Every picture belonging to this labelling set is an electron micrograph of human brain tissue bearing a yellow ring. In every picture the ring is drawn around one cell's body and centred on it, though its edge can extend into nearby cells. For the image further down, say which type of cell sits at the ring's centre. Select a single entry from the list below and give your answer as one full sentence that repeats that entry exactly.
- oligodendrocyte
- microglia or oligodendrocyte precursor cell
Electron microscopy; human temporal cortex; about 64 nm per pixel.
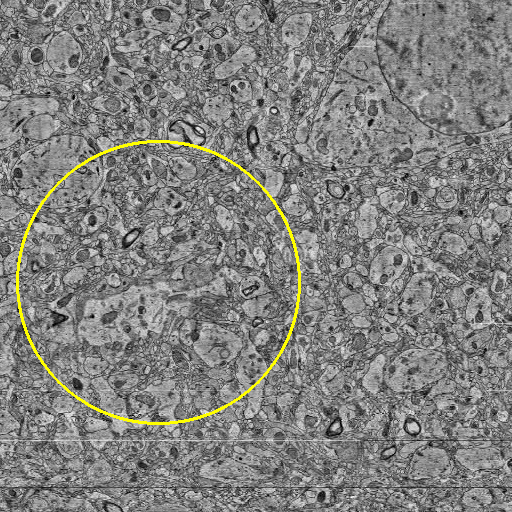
In the picture, a microglial cell or oligodendrocyte precursor cell is the cell at the centre of the yellow ring.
